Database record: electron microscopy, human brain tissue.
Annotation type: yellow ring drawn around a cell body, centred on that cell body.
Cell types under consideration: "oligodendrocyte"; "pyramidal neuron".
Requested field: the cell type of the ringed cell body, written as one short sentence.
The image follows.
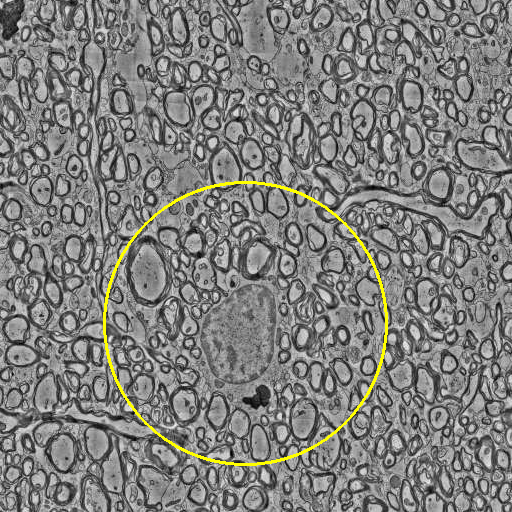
The ringed cell body represents an oligodendrocyte.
